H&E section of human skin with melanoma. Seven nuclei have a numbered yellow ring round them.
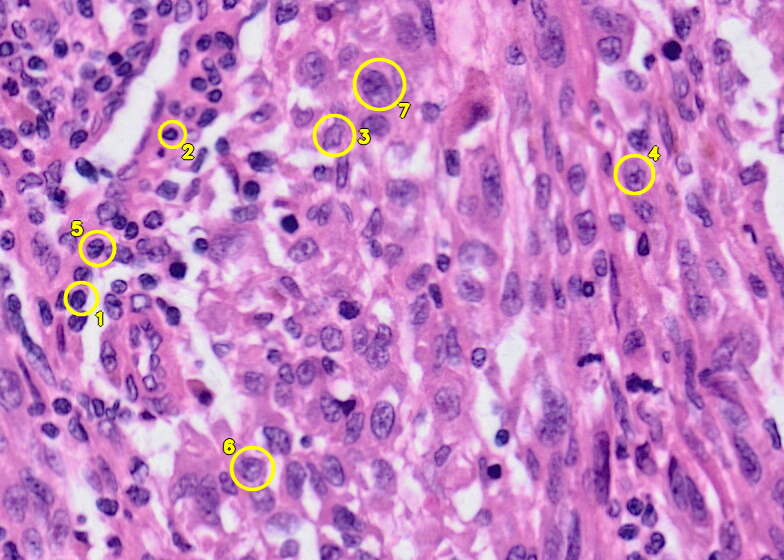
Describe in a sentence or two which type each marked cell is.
Cell 1 is a lymphocyte, cell 2 is a lymphocyte, cell 3 is a melanoma cell, cell 4 is a melanoma cell, cell 5 is a lymphocyte, cell 6 is a melanoma cell and cell 7 is a melanoma cell.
